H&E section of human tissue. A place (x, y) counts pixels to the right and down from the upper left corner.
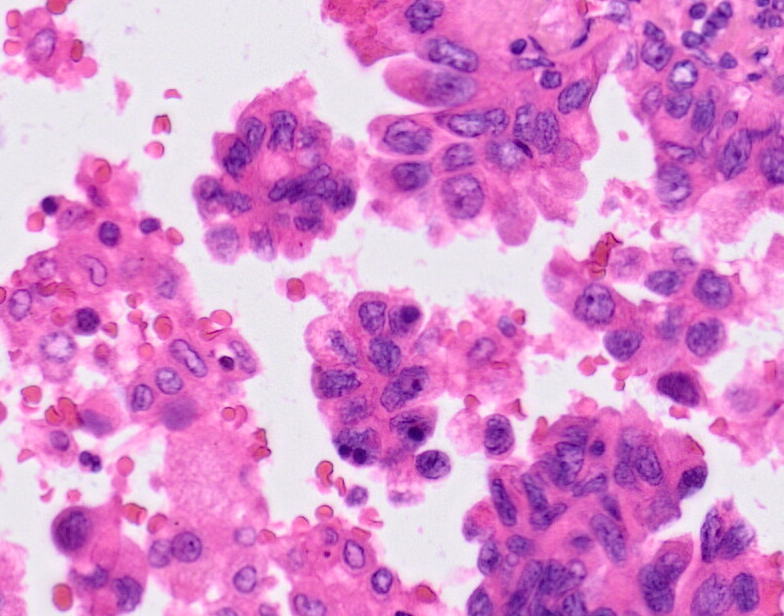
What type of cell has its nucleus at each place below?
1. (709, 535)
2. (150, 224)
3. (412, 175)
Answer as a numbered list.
1. carcinoma cell
2. lymphocyte
3. carcinoma cell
